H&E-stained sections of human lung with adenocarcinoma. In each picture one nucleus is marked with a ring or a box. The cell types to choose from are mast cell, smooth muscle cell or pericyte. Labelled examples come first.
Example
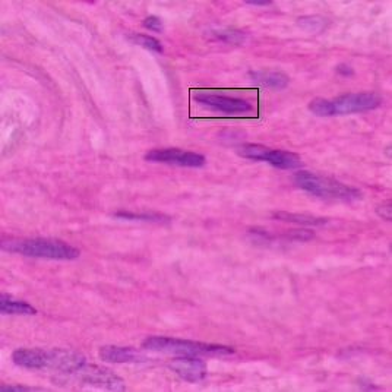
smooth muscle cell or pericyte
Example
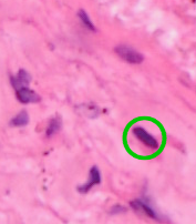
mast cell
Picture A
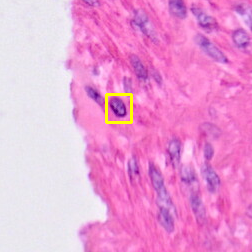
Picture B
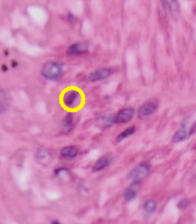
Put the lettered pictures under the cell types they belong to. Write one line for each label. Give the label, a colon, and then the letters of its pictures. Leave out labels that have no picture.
mast cell: A
smooth muscle cell or pericyte: B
